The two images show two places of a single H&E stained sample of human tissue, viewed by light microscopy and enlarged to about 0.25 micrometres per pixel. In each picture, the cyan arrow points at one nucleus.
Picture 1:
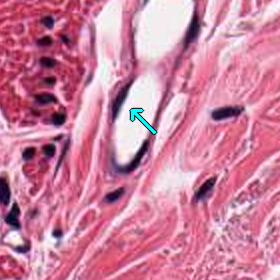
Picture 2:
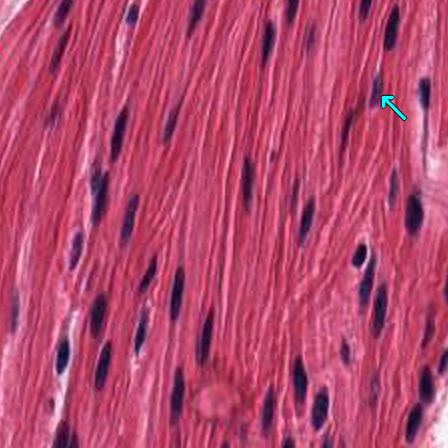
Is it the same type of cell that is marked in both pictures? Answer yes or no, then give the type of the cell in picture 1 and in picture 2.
No, the first is an endothelial cell and the second a smooth muscle cell.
